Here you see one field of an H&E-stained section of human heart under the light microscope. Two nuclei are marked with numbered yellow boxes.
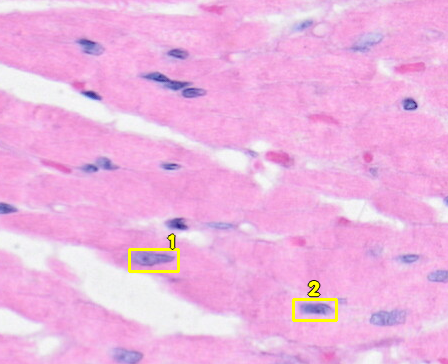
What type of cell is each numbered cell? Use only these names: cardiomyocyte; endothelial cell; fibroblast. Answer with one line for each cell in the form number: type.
1: cardiomyocyte
2: endothelial cell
